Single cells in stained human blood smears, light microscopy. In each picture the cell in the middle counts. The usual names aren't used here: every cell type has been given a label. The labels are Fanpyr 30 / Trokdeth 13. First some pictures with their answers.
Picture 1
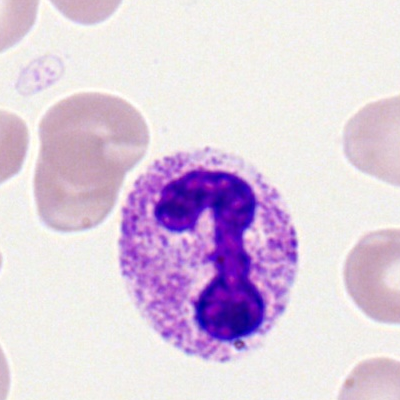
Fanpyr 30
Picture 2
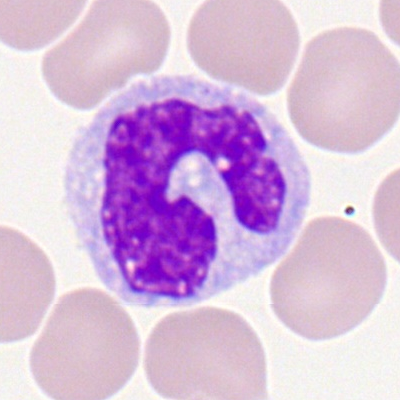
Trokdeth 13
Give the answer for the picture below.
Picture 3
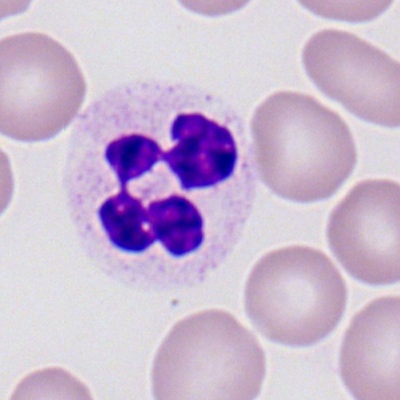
Fanpyr 30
